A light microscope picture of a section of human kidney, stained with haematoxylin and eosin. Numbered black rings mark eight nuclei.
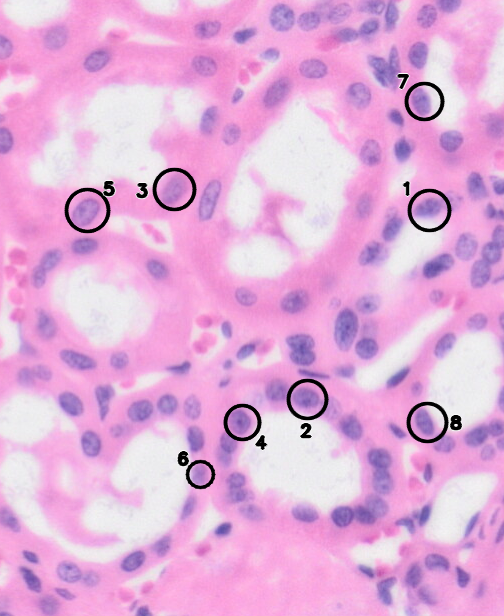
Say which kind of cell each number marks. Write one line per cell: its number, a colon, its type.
1: collecting duct cell
2: collecting duct cell
3: proximal tubule cell
4: collecting duct cell
5: proximal tubule cell
6: collecting duct cell
7: loop of Henle or distal tubule cell
8: collecting duct cell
